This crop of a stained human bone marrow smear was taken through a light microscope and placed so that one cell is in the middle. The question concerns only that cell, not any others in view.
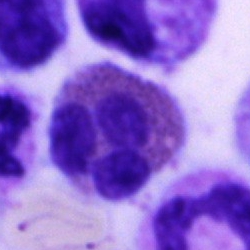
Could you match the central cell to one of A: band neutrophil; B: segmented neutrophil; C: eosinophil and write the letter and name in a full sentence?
Option C gives the correct identity of the central cell, namely an eosinophil.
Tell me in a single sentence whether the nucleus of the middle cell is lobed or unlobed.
If you check the nucleus, you will find it split into two or more lobes.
